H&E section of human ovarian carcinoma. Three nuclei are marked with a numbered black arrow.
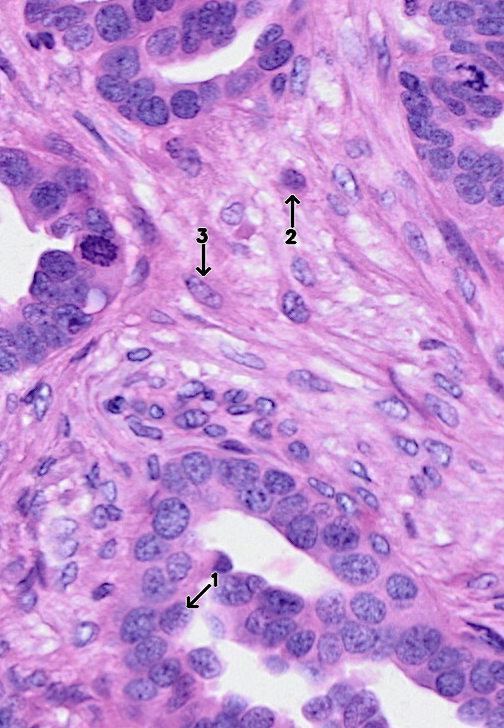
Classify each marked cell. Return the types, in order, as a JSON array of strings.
["carcinoma cell", "macrophage or monocyte", "fibroblast"]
